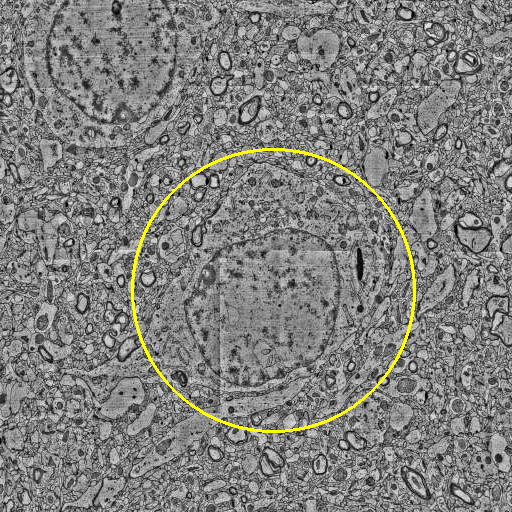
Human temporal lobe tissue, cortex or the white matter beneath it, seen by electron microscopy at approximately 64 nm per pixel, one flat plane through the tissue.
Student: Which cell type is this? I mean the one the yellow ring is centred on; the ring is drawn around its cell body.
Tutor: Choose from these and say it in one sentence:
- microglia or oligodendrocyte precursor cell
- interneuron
The cell the ring is centred on is an interneuron.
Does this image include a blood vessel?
No, a blood vessel is absent from this picture.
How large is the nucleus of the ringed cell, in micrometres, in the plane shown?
In this plane, about 11 micrometres in length and 9 in width.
